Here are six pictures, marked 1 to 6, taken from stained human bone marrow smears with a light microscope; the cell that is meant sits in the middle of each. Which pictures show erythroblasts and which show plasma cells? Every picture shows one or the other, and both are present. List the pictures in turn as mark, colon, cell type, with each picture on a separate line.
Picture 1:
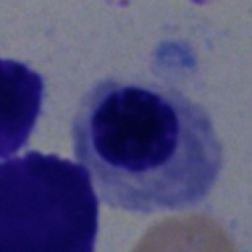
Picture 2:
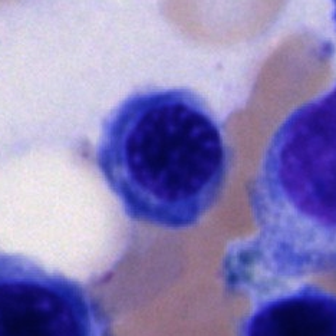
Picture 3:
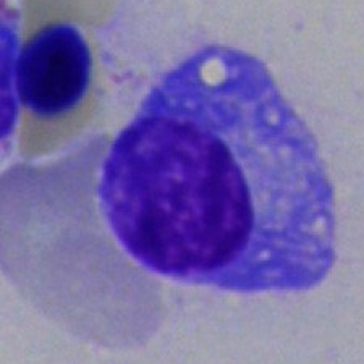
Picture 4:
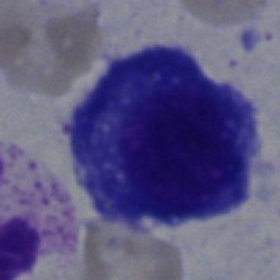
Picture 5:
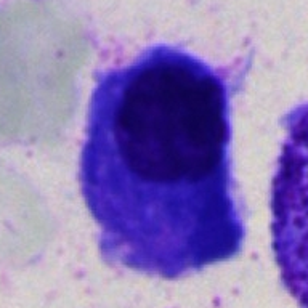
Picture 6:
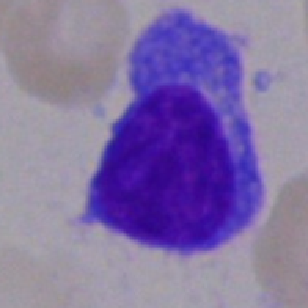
1: erythroblast
2: erythroblast
3: plasma cell
4: plasma cell
5: plasma cell
6: plasma cell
